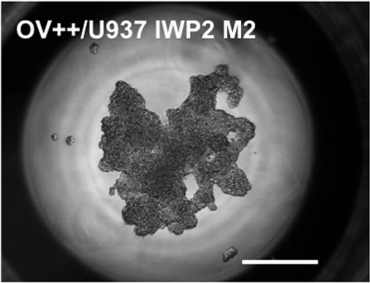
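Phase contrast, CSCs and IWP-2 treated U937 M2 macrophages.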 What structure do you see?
Aggregated spheroids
